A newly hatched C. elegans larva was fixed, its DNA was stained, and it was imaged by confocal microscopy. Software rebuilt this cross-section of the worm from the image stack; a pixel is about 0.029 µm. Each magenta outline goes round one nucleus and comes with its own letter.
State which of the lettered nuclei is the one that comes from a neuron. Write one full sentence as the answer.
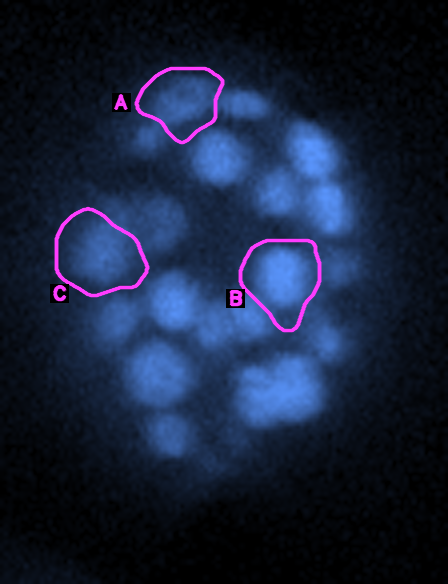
It is C that belongs to a neuron.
